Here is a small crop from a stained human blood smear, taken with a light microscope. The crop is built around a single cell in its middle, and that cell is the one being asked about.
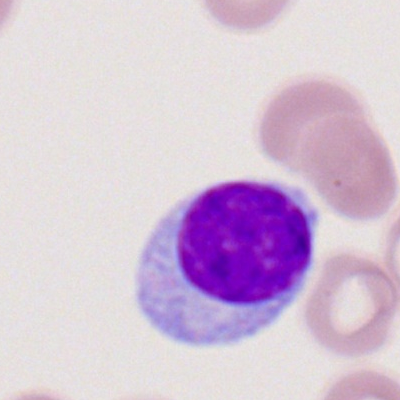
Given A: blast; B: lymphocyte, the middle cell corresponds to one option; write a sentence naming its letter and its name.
Identified correctly by option B, the cell in the middle is a lymphocyte.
